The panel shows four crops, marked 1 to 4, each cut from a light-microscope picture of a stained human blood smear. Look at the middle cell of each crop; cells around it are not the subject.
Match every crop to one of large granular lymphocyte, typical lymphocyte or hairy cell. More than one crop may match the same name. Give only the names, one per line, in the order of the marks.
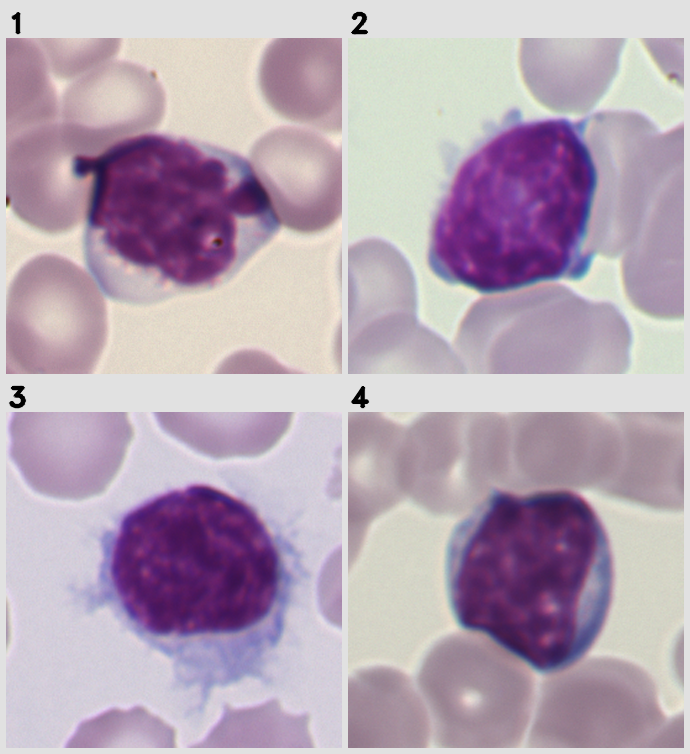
large granular lymphocyte
typical lymphocyte
hairy cell
typical lymphocyte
